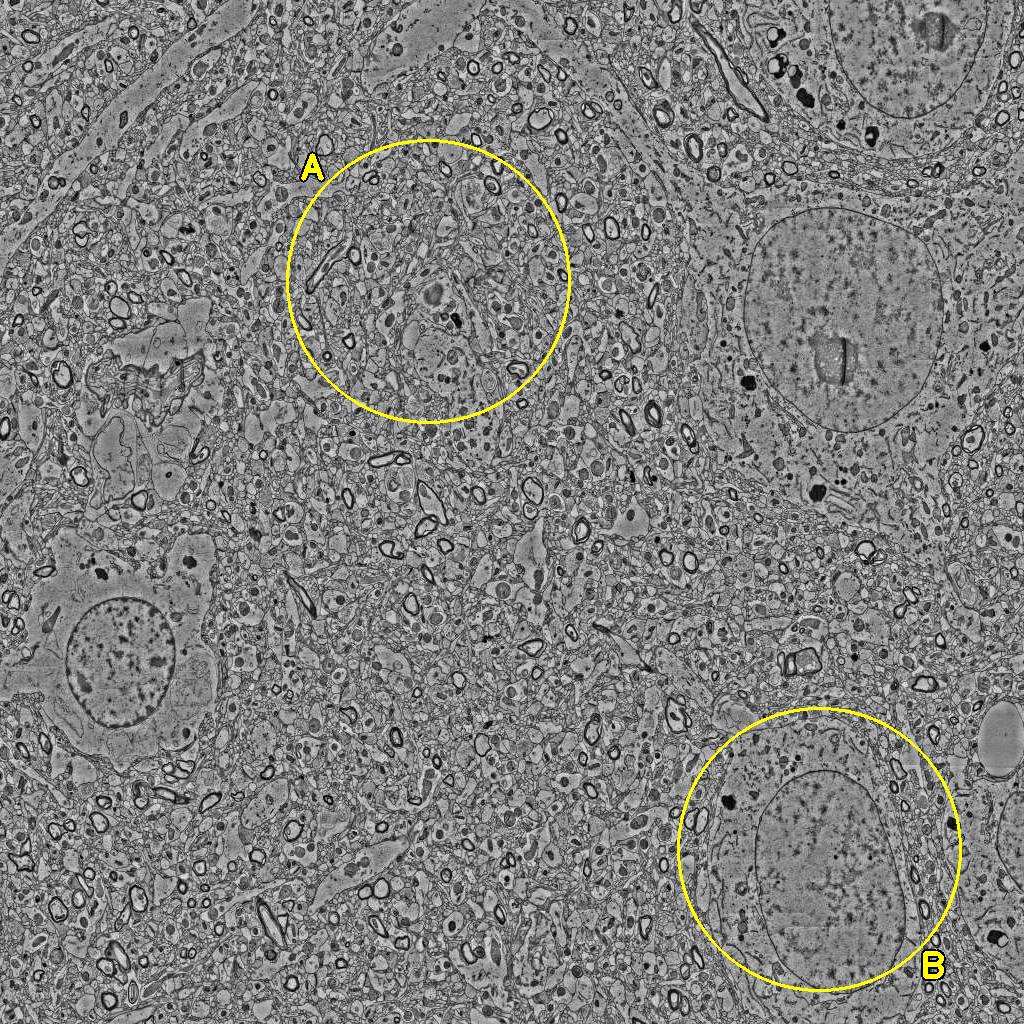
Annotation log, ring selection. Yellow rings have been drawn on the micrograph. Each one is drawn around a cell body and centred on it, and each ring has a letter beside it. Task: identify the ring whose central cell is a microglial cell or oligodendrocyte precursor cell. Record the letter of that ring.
A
